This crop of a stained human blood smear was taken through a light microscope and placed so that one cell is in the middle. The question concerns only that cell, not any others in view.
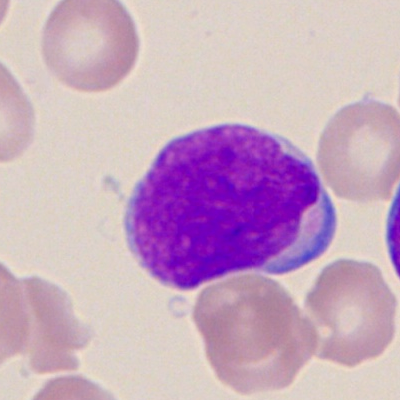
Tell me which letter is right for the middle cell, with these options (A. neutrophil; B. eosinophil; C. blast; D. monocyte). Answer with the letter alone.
C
